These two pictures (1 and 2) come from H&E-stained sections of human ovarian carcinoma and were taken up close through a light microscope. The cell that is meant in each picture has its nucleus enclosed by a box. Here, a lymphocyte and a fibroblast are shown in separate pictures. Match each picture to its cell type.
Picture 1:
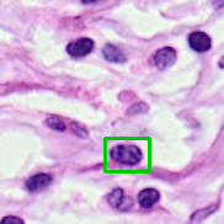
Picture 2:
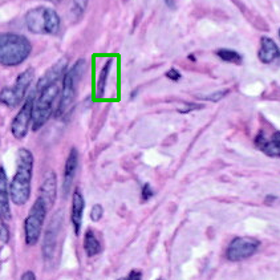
1: lymphocyte
2: fibroblast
